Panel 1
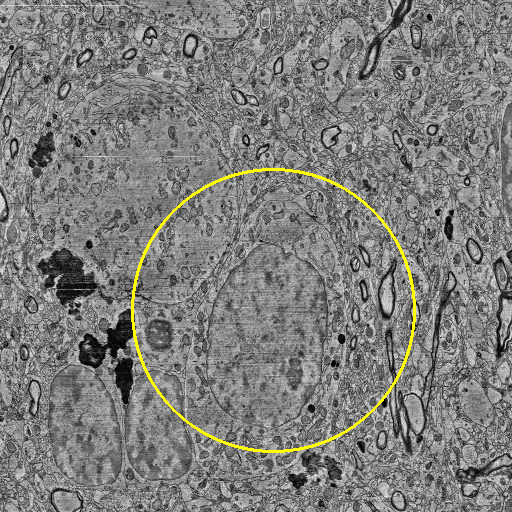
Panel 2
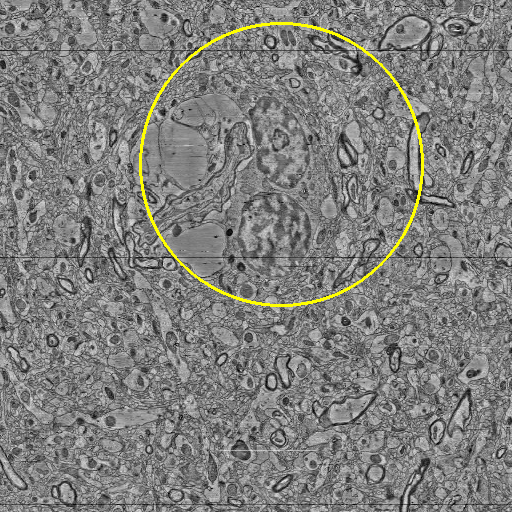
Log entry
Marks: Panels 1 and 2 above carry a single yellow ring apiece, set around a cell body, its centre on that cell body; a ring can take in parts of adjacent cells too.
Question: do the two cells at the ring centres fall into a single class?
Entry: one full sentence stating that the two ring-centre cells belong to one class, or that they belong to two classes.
The two ring-centre cells in Panels 1 and 2 belong to two classes.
